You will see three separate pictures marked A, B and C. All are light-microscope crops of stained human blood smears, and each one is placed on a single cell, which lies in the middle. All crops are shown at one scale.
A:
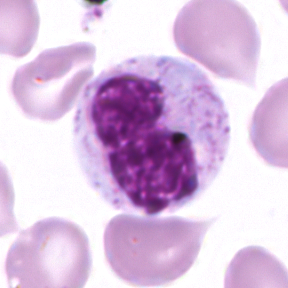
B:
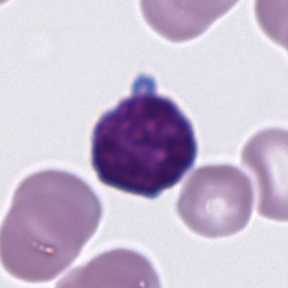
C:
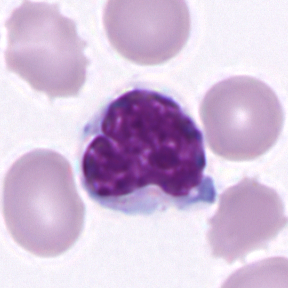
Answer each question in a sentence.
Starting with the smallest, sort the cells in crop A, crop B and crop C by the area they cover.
The order is B, C, A, beginning with the smallest.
